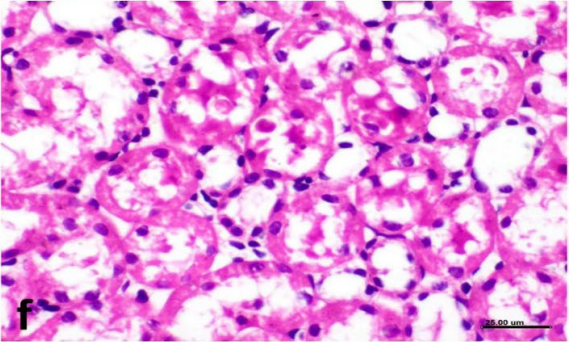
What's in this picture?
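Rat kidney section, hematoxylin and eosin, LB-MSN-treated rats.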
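Renal tubules cut in cross section fill the field, their epithelial cells showing pale, foamy pink cytoplasm riddled with clear spaces, and some cells seem to have lost their nuclei while others keep small dark round ones at the base. Inside several cells and lumens lie small round, glassy, deeply pink globules. Slender dark nuclei sit in the thin interstitium between tubules. The frayed, clearing cytoplasm and loss of nuclei suggest necrosis of the tubular epithelium, and the glassy pink globules fit hyaline droplets forming within the tubular epithelium.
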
